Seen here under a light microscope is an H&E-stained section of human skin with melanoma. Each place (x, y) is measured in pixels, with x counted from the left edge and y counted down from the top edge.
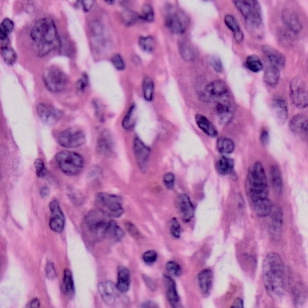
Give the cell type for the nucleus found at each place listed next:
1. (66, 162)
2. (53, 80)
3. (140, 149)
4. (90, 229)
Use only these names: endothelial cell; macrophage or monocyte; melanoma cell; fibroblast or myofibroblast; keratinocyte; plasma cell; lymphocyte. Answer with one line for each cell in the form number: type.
1: melanoma cell
2: melanoma cell
3: endothelial cell
4: melanoma cell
